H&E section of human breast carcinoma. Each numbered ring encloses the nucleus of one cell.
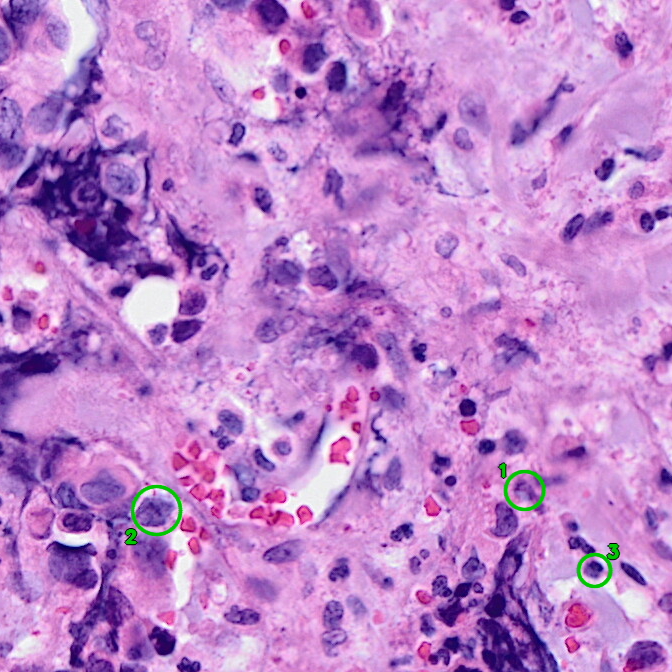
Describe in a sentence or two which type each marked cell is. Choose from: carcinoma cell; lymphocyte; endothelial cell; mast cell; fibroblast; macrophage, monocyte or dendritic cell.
Cell 1 is a macrophage, monocyte or dendritic cell. Cell 2 is a carcinoma cell. Cell 3 is a lymphocyte.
